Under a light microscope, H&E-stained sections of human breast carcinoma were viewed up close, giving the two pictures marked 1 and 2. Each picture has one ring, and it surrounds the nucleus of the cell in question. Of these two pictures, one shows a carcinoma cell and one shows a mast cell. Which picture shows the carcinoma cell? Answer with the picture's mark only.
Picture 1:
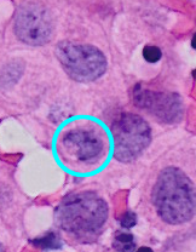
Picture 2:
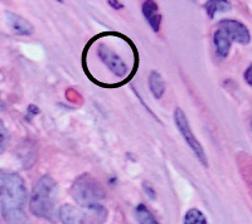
1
